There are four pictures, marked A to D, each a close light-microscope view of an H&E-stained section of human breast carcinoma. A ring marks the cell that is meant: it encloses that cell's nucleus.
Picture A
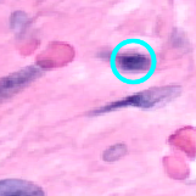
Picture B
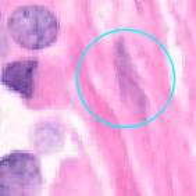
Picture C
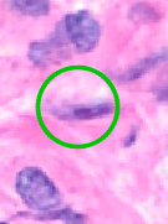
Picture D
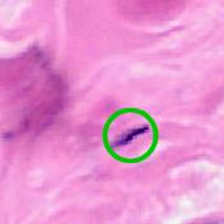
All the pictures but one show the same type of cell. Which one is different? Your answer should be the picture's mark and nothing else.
A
